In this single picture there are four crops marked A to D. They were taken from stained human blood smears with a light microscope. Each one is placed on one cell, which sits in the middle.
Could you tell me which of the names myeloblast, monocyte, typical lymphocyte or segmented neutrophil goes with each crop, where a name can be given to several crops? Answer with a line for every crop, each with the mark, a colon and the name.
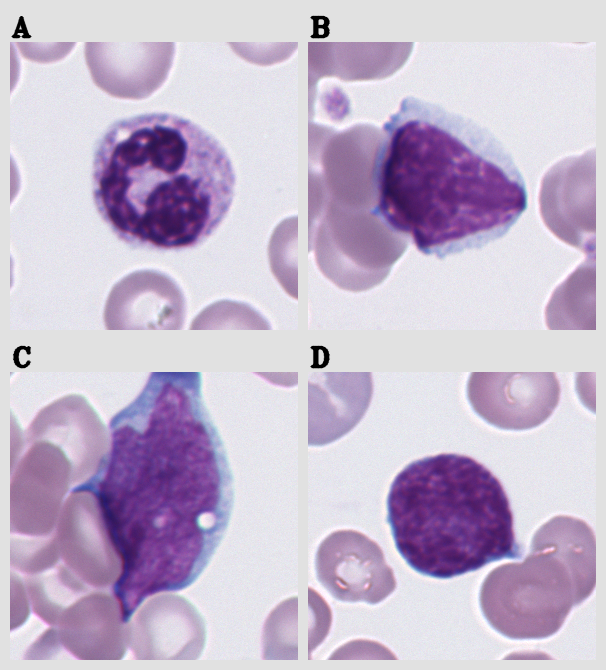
A: segmented neutrophil
B: typical lymphocyte
C: myeloblast
D: myeloblast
